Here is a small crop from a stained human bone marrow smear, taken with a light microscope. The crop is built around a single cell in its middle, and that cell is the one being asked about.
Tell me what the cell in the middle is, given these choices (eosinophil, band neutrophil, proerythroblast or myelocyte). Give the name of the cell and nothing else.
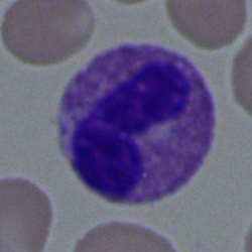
eosinophil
